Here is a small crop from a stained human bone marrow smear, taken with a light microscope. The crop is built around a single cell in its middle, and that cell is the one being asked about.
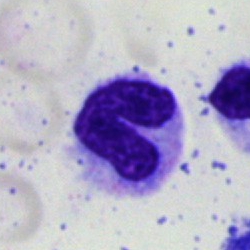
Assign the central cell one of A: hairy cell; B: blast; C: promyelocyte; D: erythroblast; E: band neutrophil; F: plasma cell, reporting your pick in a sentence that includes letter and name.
Option E holds up: the cell in the middle is a band neutrophil.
